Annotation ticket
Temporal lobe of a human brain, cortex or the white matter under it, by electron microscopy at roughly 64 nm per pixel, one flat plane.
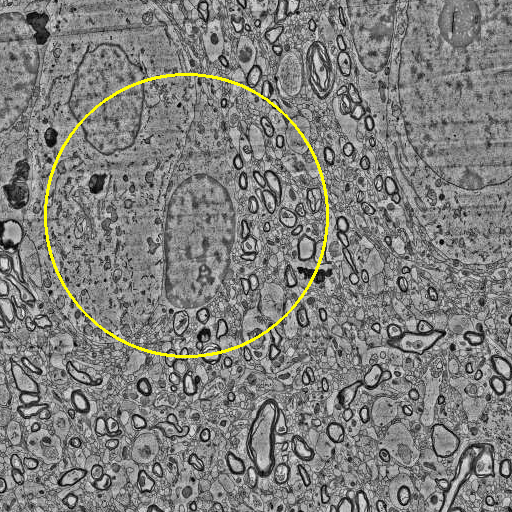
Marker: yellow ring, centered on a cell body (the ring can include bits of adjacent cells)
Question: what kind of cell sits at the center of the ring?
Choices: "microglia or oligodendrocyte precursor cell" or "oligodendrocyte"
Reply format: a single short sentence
The ring is centered on an oligodendrocyte.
